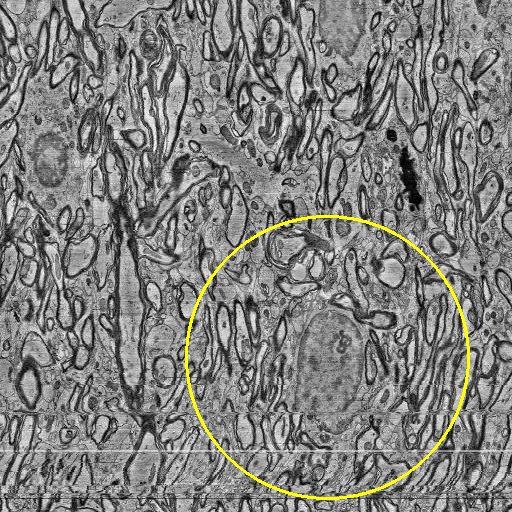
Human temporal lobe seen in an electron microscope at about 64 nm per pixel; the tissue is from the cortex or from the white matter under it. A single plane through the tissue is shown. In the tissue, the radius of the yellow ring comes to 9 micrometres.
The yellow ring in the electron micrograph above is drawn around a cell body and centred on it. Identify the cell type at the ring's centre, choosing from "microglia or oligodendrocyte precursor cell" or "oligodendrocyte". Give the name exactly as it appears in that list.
oligodendrocyte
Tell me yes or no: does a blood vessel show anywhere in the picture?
No, no blood vessel shows in the picture.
